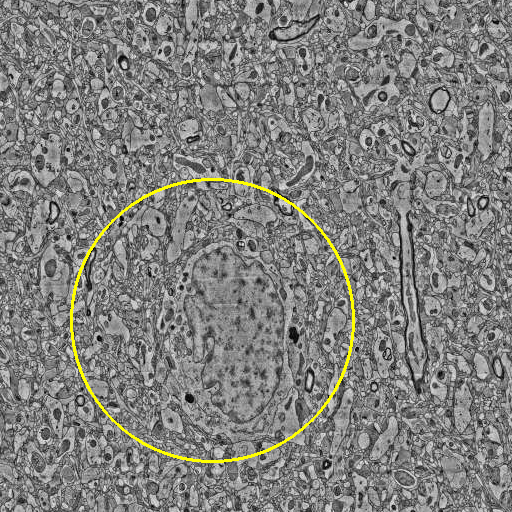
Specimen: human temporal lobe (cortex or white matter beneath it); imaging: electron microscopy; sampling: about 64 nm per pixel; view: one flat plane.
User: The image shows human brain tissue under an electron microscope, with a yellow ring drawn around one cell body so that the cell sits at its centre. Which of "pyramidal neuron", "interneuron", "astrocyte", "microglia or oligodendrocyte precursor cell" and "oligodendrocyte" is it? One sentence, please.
At the centre of the ring sits an interneuron.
